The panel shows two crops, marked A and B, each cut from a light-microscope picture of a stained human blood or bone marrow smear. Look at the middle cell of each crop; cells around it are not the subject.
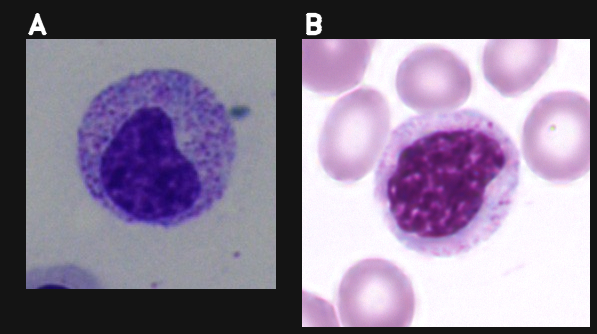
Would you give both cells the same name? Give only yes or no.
yes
